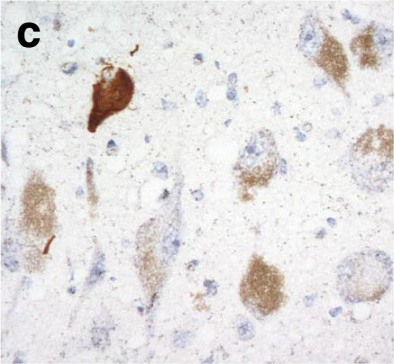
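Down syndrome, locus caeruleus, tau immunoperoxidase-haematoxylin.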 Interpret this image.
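At upper left a neuron is filled with solid dark brown material, flame-shaped, with a tapering process. Other large neurons have granular light brown pigment in their cytoplasm and pale nuclei, without the dense staining. Small blue nuclei of glial cells are scattered in a pale neuropil. A few fine brown threads lie near the stained cell.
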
